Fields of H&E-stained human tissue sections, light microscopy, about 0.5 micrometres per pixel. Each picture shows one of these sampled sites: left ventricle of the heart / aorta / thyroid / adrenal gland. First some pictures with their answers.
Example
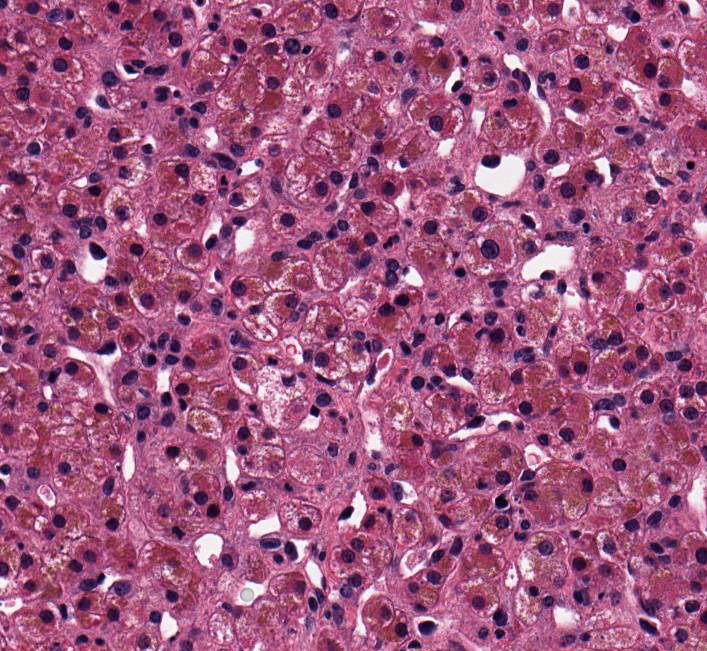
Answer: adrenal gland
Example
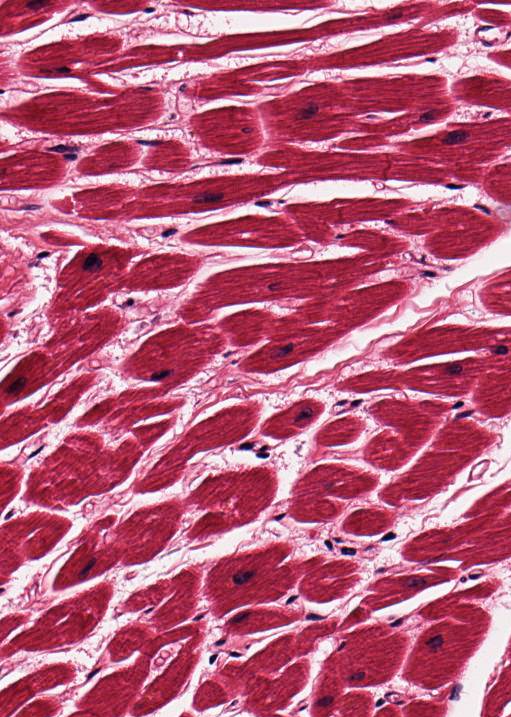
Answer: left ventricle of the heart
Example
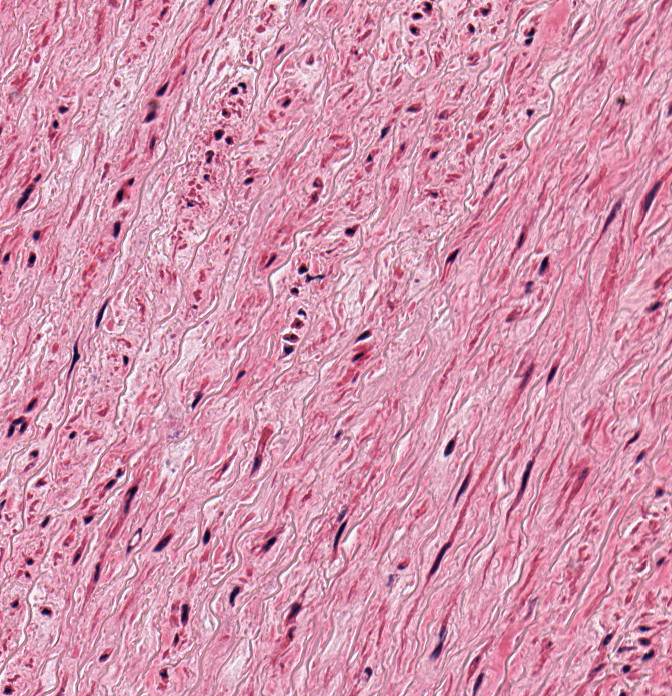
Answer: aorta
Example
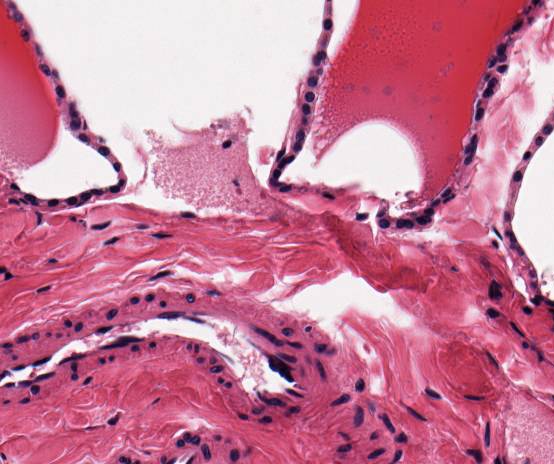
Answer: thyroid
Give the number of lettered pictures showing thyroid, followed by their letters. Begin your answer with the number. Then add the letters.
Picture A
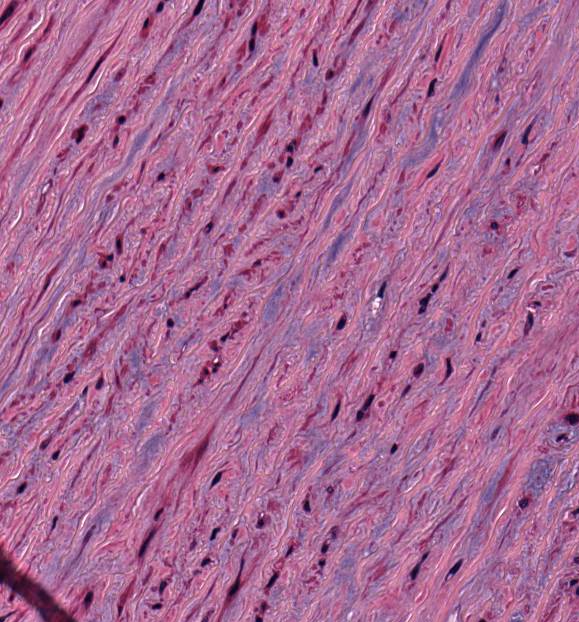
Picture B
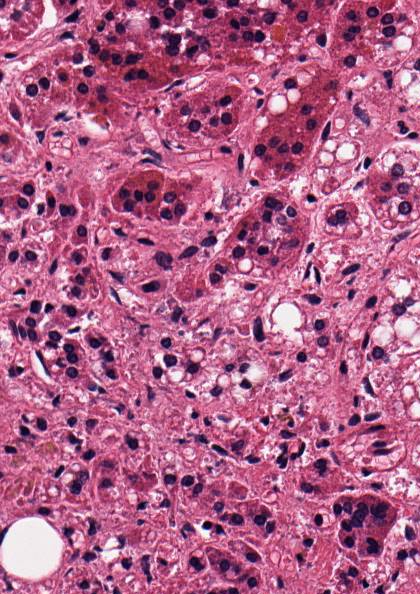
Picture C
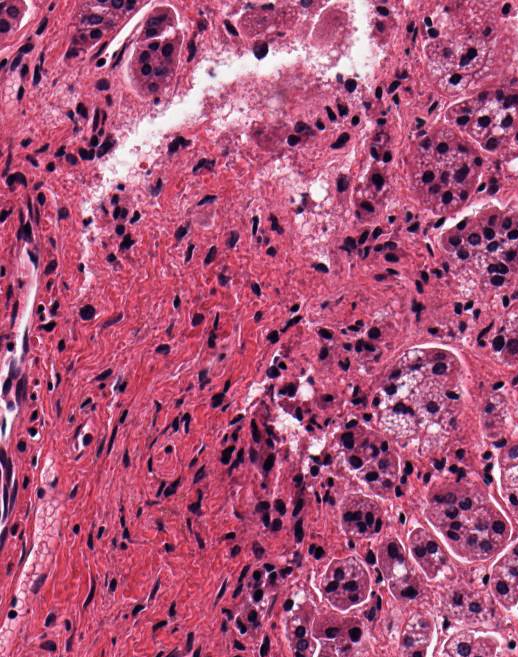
0, none of them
